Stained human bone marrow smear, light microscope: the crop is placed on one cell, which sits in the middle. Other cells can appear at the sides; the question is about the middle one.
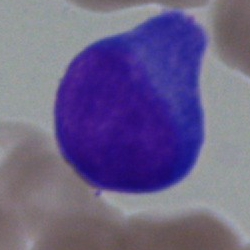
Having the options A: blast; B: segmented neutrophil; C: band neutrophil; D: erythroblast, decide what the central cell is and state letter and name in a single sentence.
Option A, which names the central cell as a blast, is correct.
